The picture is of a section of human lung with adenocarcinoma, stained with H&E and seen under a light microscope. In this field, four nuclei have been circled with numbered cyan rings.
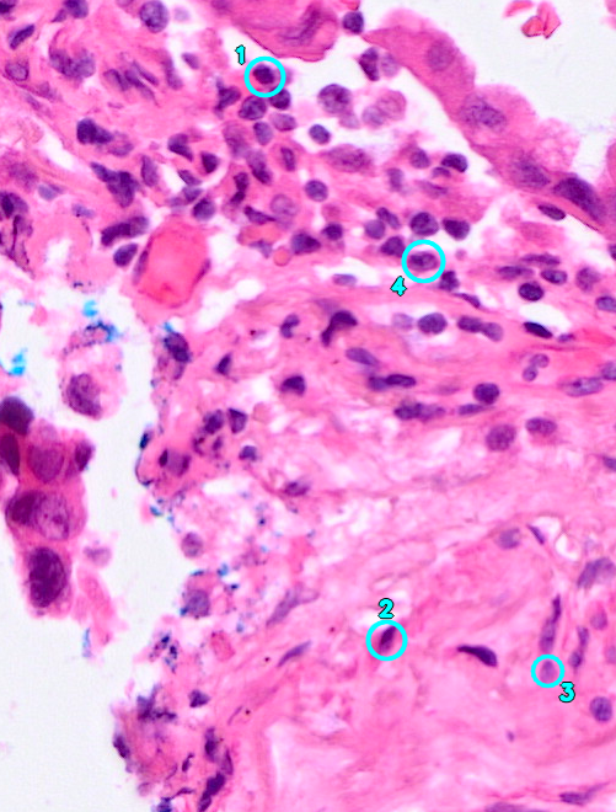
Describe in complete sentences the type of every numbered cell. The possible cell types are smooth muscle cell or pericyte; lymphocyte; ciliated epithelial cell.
Cells 1 and 4 are lymphocytes. Cells 2 and 3 are smooth muscle cells or pericytes.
